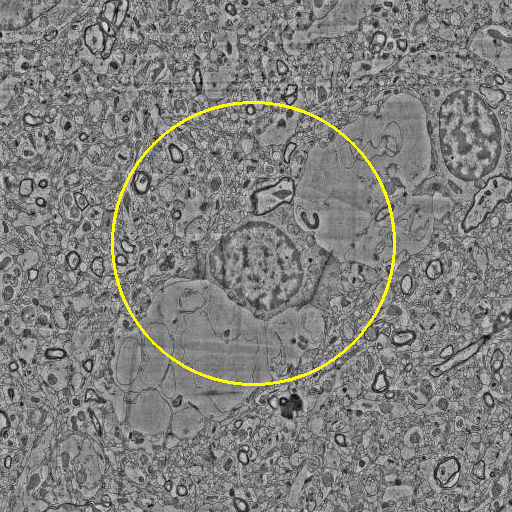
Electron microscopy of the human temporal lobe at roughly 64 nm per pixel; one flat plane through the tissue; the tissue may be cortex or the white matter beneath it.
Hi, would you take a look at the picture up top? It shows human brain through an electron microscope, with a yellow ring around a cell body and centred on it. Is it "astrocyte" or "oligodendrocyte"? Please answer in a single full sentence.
The best fit for the cell in the middle of the ring is an oligodendrocyte, I reckon.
